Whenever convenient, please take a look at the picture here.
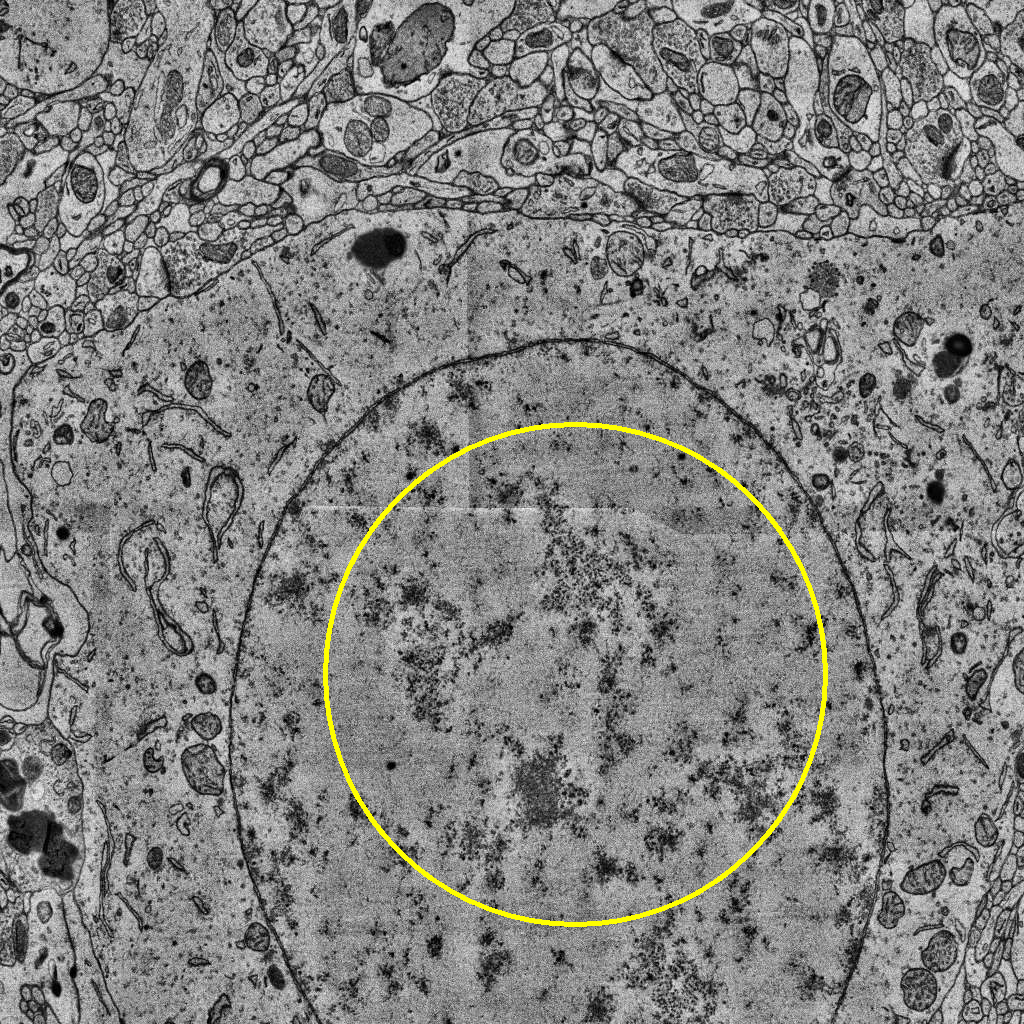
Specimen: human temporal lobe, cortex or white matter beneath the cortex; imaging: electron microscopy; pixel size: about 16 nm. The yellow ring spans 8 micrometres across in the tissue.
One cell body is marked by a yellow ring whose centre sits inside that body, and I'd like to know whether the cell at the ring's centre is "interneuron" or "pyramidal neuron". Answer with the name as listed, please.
pyramidal neuron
